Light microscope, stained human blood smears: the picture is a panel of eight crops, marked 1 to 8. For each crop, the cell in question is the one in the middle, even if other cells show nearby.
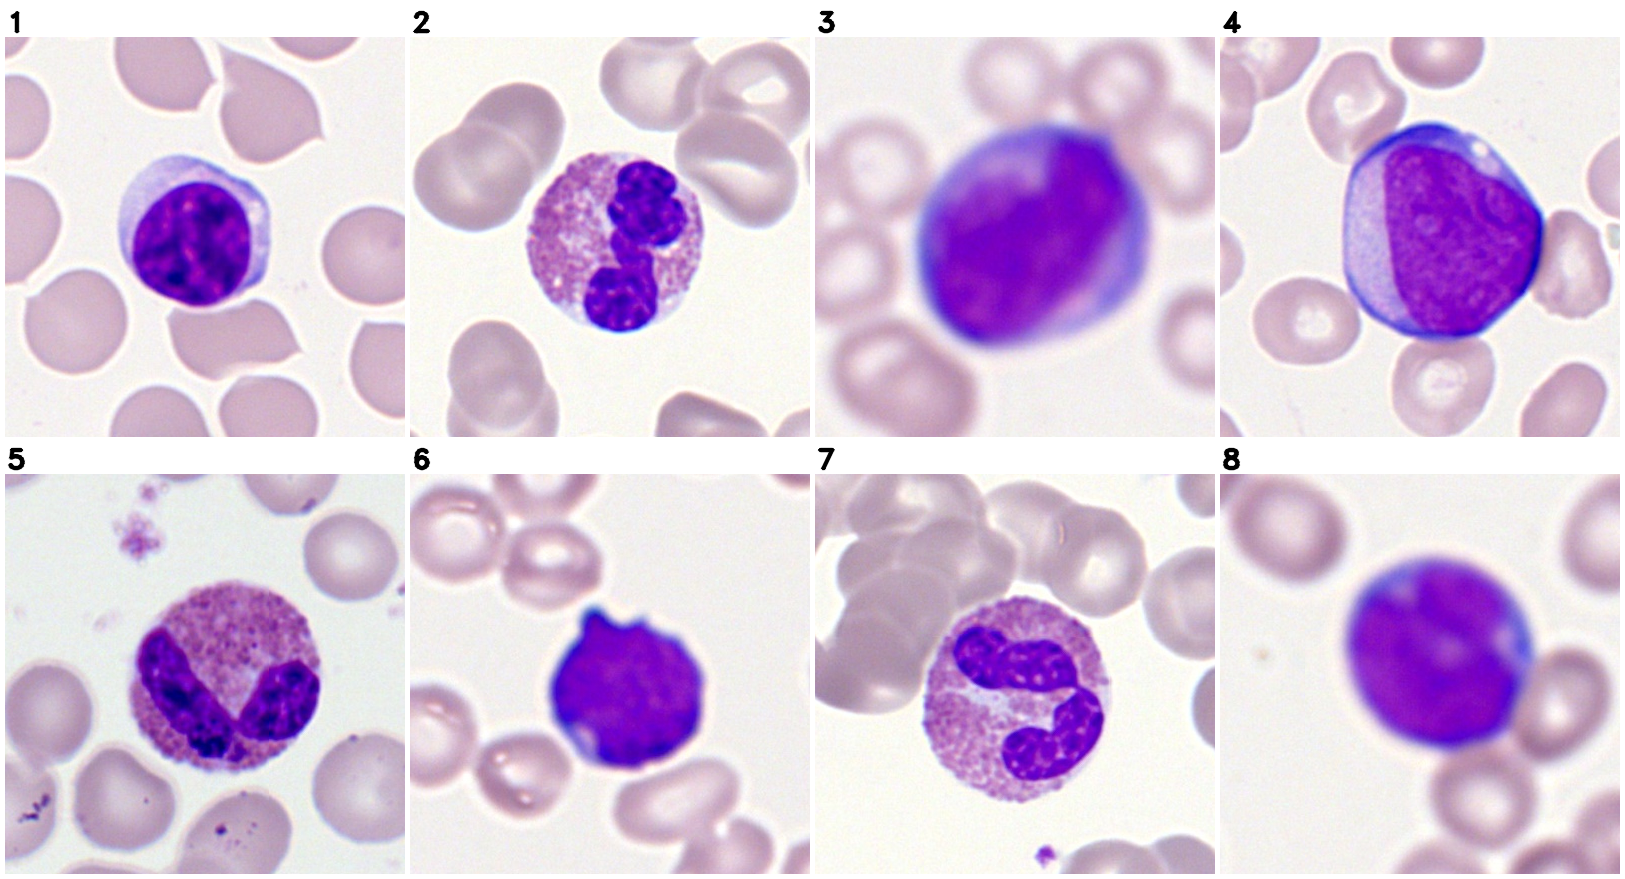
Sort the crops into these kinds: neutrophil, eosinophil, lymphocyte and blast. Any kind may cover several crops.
1: lymphocyte
2: eosinophil
3: blast
4: blast
5: eosinophil
6: blast
7: eosinophil
8: blast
